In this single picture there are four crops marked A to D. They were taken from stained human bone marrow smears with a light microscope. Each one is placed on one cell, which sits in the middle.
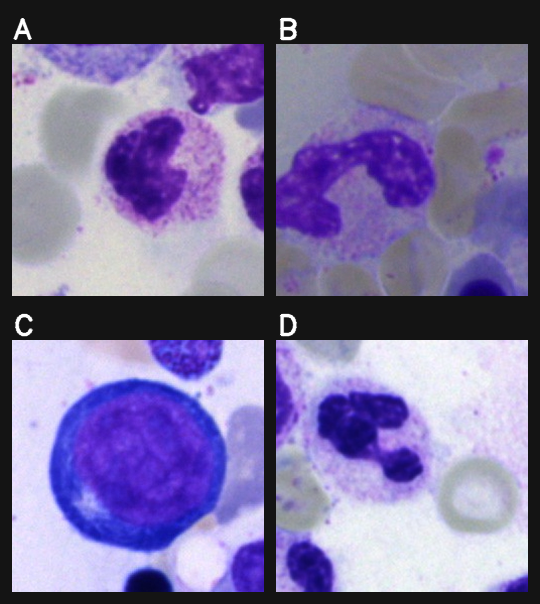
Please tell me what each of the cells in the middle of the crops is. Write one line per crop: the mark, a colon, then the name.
A: band neutrophil
B: segmented neutrophil
C: proerythroblast
D: segmented neutrophil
